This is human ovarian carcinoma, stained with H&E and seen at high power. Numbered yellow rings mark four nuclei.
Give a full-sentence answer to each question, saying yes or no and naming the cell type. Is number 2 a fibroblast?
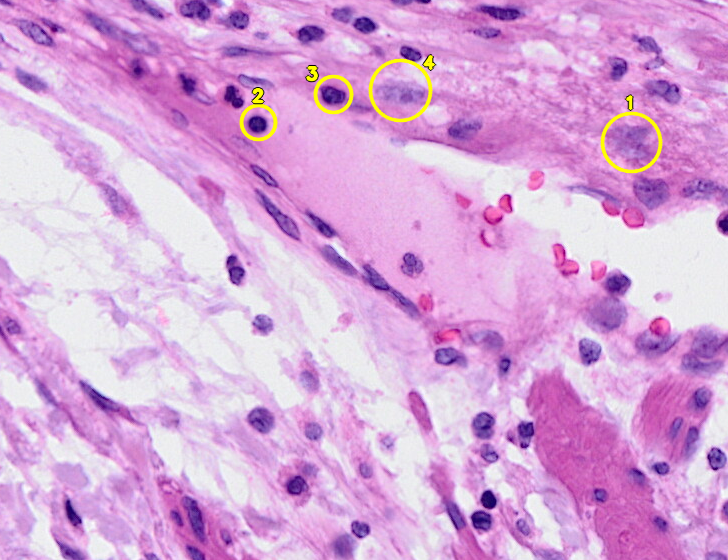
No, the cell with number 2 is not a fibroblast but a lymphocyte.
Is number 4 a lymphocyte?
No, number 4 is not a lymphocyte; it is a fibroblast.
